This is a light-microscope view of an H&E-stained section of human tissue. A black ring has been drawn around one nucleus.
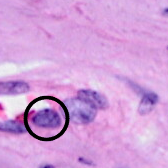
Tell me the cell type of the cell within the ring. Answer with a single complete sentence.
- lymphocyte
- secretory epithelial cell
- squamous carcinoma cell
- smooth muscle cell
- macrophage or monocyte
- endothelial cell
It is an endothelial cell that the cell within the ring represents.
